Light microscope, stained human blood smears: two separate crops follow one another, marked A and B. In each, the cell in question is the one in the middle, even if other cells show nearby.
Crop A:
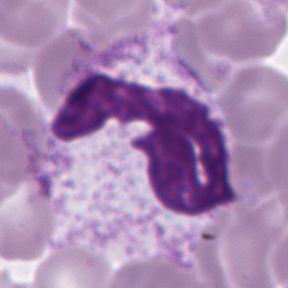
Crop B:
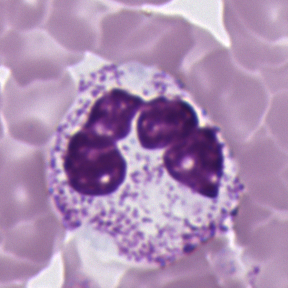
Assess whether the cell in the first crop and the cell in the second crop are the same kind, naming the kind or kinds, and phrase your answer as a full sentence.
Yes, both crops show neutrophils, with no exception.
